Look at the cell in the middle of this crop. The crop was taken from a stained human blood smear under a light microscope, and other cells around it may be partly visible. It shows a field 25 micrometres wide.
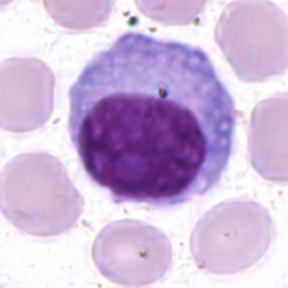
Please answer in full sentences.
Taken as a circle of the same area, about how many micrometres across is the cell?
About 15 micrometres: that is the cell's diameter.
